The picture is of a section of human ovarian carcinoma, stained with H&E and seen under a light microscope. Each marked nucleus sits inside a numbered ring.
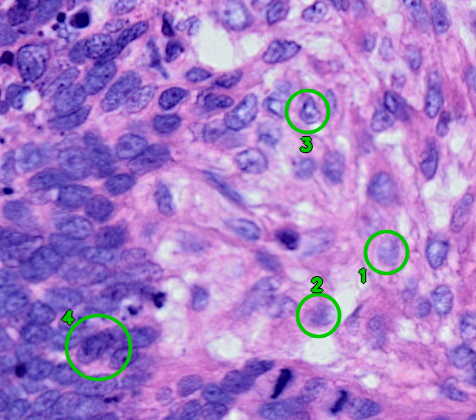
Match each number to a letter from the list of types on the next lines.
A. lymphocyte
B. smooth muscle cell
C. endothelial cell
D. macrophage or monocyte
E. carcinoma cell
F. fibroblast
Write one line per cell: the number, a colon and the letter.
1: F
2: F
3: F
4: E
